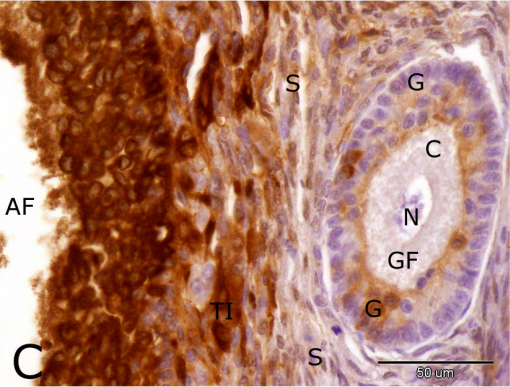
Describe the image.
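On the left lies the wall of an antral follicle, where densely packed granulosa cells and, outside them, theca interna cells are stained deep brown. On the right a growing follicle holds a large pale oocyte with a clear nucleus, ringed by cuboidal to columnar granulosa cells whose cytoplasm is lightly brown. Between the two follicles run spindle-shaped stroma cells with elongated blue nuclei and faint brown staining.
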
